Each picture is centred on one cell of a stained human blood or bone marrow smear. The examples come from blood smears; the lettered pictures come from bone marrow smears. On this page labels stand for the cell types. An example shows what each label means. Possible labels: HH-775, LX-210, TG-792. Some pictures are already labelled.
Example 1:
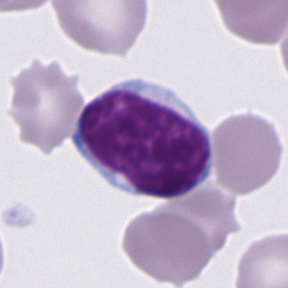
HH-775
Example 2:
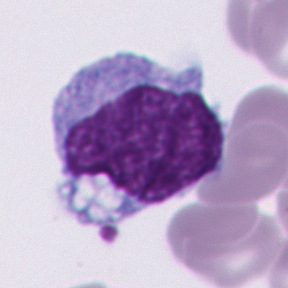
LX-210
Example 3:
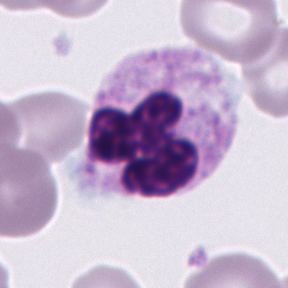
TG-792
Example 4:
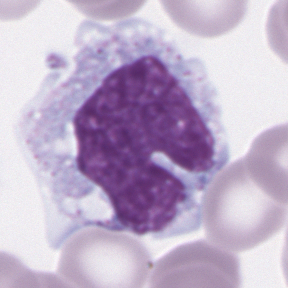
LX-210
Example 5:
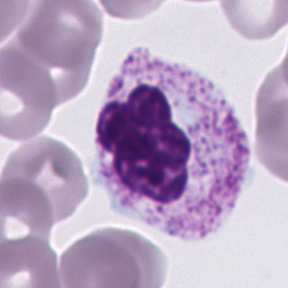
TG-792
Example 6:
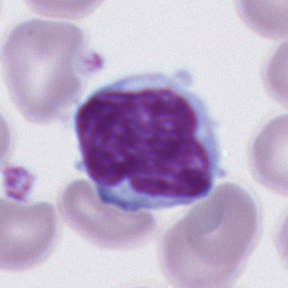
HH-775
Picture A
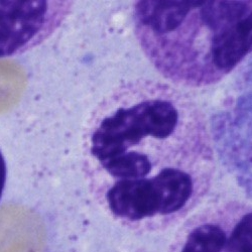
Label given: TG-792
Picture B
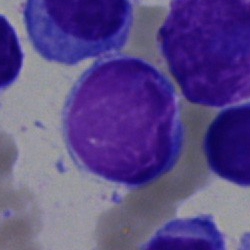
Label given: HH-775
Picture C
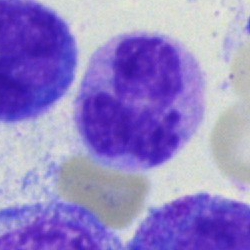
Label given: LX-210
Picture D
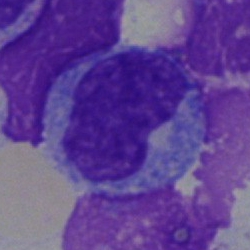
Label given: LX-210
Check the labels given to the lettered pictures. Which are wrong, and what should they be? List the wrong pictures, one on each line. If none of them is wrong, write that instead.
All correct.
